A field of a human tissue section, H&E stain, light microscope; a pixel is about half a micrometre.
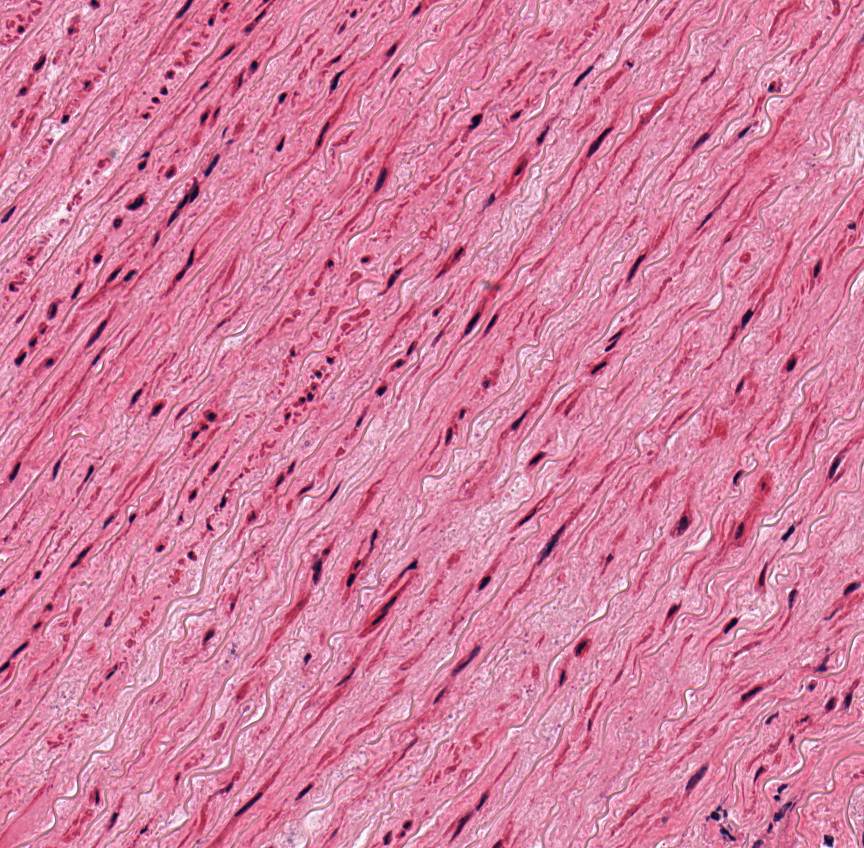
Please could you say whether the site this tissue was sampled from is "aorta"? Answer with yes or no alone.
yes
